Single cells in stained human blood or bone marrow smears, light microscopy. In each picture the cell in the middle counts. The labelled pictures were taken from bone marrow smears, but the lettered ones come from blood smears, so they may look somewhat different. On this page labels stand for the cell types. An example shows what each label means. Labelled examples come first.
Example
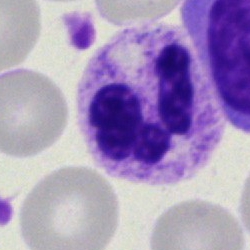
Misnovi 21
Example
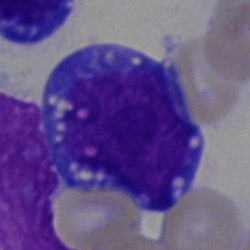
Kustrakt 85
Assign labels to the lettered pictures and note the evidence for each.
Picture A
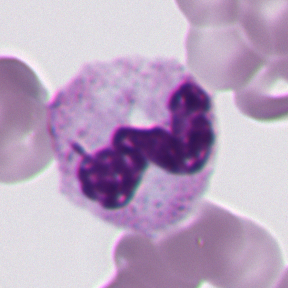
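Misnovi 21: The nucleus is a curved band pinched into lobes, running from lower left to upper right.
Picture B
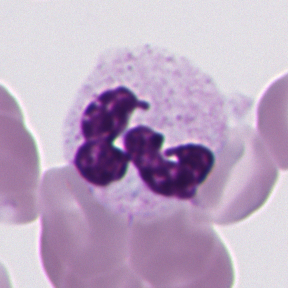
Misnovi 21: The cytoplasm is abundant and pale pinkish.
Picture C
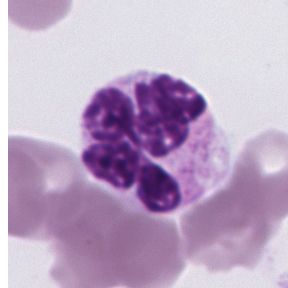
Misnovi 21: The nucleus is split into four separate lobes.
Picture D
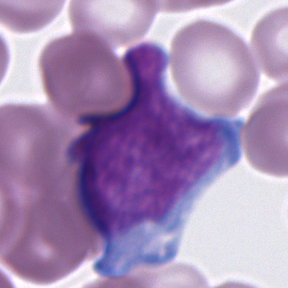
Kustrakt 85: The nucleus fills most of the cell.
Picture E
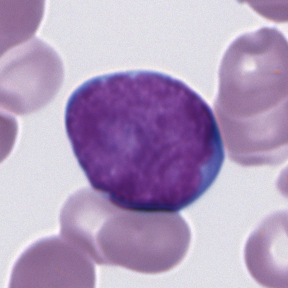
Kustrakt 85: The cytoplasm forms only a thin rim around the nucleus.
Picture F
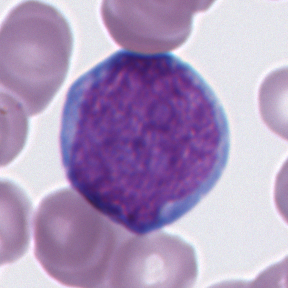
Kustrakt 85: The cytoplasm forms only a thin rim, widest at the lower right.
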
